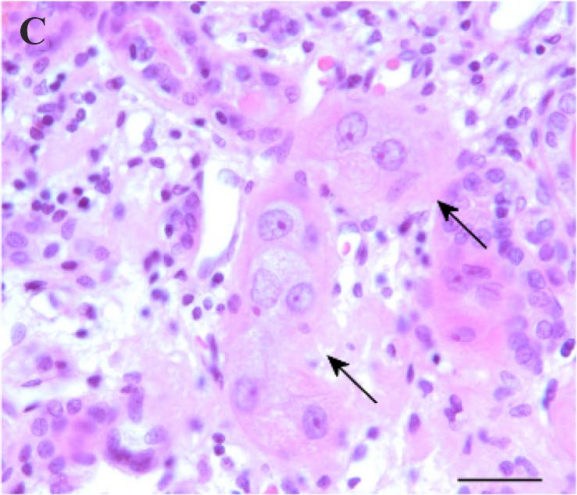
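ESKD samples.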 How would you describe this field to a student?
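This is kidney tissue with large epithelial cells lying in an inflamed stroma. The large cells have abundant, pale pink, finely granular cytoplasm and stand out clearly against their surroundings. Their nuclei are enlarged and round, with open chromatin and prominent nucleoli. Around them the stroma is crowded with small round cells with dark, compact nuclei, typical of an inflammatory infiltrate. Remnants of tubules with smaller epithelial cells lie nearby.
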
